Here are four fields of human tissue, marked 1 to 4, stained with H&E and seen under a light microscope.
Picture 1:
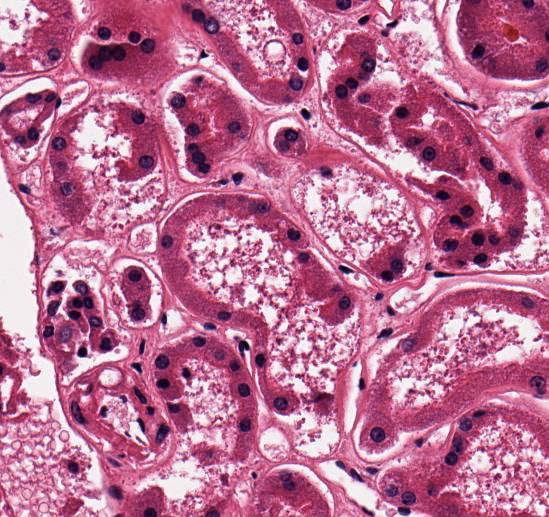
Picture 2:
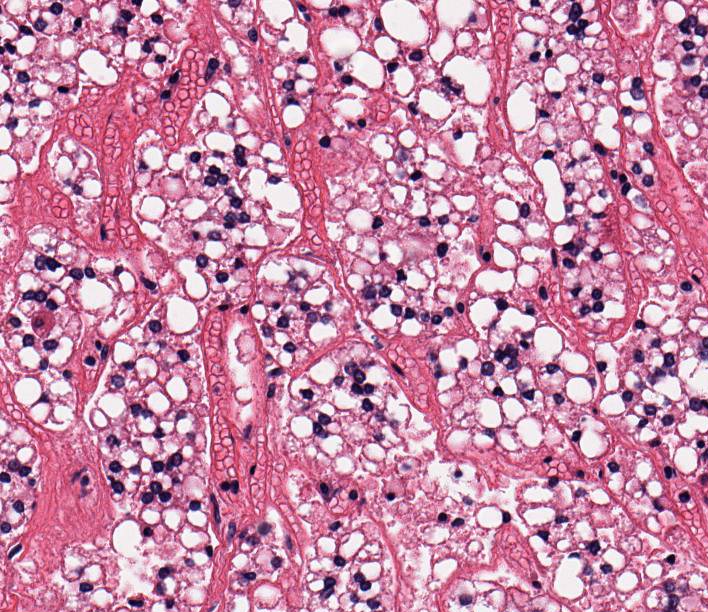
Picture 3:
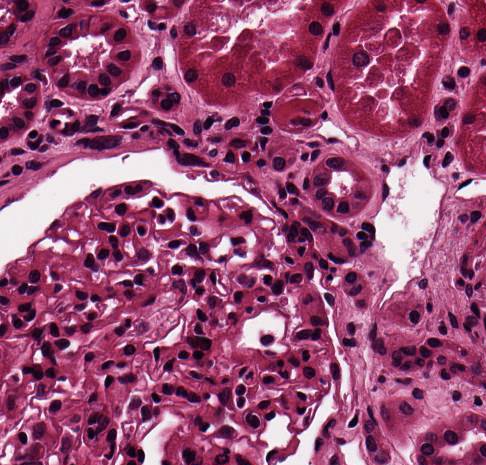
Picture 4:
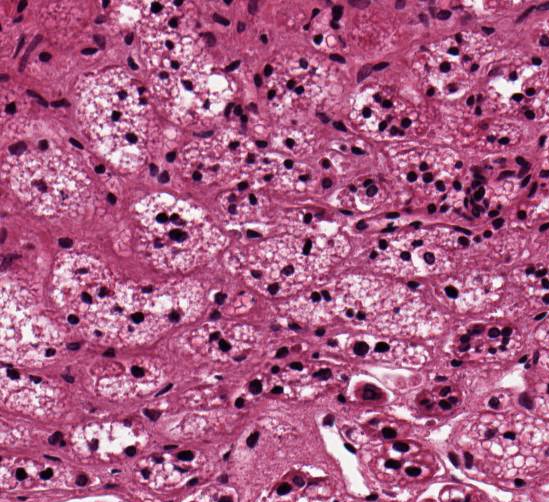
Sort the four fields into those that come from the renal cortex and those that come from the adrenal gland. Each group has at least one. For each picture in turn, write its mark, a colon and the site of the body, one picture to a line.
1: renal cortex
2: adrenal gland
3: renal cortex
4: adrenal gland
